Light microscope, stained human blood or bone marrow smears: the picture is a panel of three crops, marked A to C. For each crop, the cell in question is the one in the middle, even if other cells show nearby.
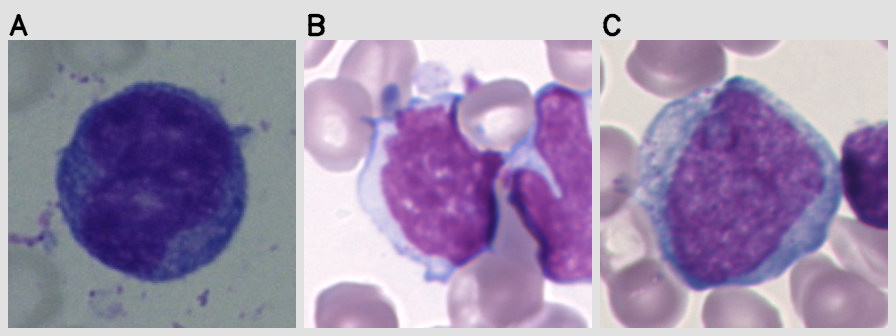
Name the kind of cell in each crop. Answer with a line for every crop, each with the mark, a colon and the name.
A: blast
B: blast
C: promyelocyte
